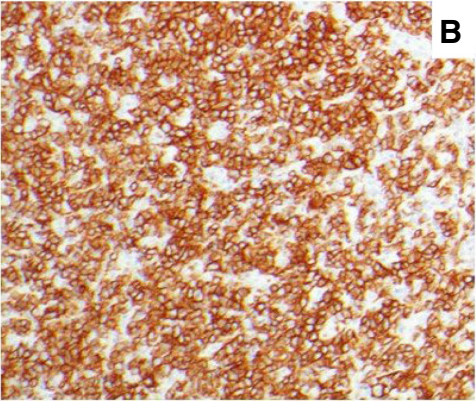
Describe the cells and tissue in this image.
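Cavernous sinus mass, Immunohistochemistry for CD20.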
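Here a dense sheet of large lymphoid cells is stained so that nearly every cell is outlined in brown. The brown lies as a crisp ring around each cell at its surface, while the nuclei inside show up pale, giving a honeycomb or chain-mail pattern across the whole field. The cells are packed closely and evenly, with only small clear gaps between groups of them.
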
